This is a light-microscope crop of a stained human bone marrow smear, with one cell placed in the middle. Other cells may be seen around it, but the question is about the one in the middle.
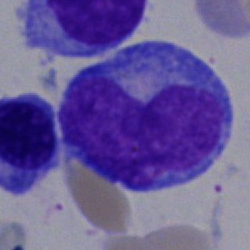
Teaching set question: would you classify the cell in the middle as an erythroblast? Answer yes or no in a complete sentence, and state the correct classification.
No, that would be a blast, not an erythroblast, for the cell at the centre.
